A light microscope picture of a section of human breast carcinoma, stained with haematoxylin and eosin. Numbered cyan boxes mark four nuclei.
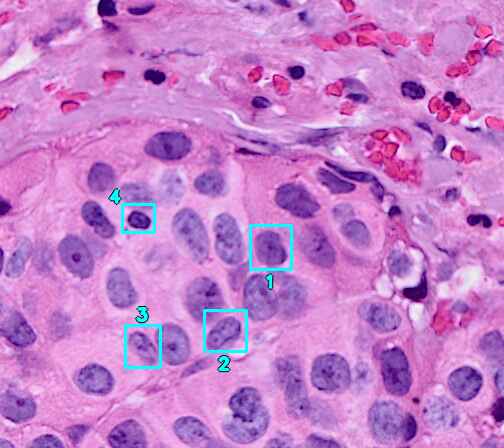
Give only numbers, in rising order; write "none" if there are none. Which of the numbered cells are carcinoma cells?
1, 2, 3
